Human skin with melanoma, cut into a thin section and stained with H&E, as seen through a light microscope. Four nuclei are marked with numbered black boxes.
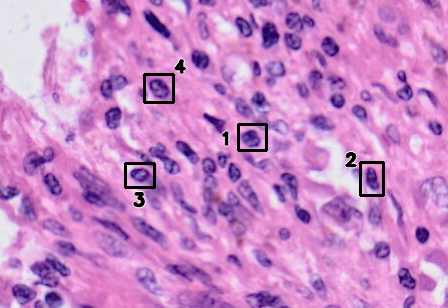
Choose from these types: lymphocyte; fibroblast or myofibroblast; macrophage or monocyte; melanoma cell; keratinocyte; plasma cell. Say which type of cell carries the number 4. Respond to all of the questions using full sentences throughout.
The cell that bears the number 4 is a plasma cell.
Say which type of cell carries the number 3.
The cell given label 3 is a lymphocyte.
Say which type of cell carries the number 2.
Cell 2 should be recorded as a lymphocyte.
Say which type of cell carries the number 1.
The cell marked with number 1 is a lymphocyte.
